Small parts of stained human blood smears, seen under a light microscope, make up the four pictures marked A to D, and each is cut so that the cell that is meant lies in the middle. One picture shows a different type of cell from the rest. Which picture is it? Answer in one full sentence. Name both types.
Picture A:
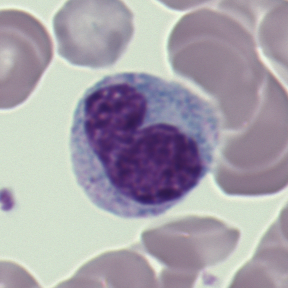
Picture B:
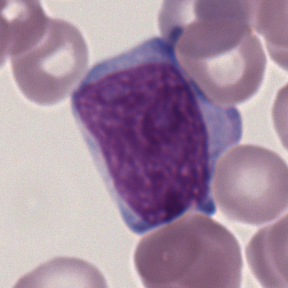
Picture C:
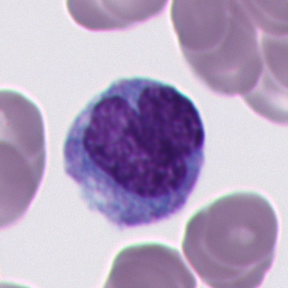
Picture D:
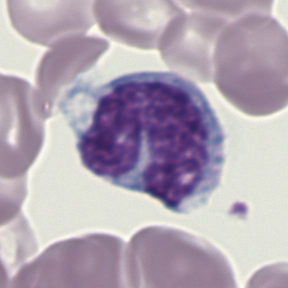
Picture B differs, because its cell is a myeloblast and the rest are monocytes.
